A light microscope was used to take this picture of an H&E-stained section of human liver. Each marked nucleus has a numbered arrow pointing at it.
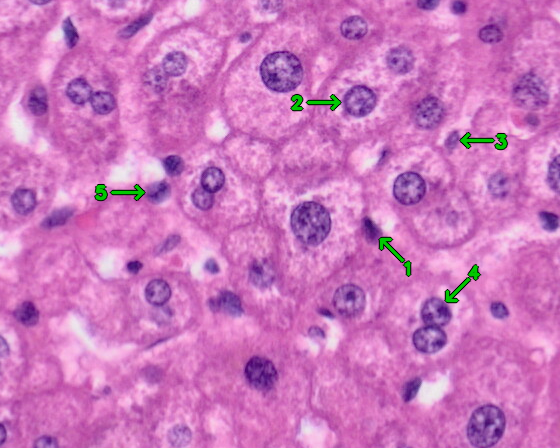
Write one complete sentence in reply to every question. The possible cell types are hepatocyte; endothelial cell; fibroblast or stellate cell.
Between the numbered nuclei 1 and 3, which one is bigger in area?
Nucleus 1 is the larger one, covering about 1.5 times the area of nucleus 3.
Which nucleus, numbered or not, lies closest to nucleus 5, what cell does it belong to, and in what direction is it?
The nearest one is a fibroblast or stellate cell, found above and to the right of nucleus 5.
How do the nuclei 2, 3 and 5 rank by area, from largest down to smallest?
Largest first, the order by area is 2, 5, 3.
